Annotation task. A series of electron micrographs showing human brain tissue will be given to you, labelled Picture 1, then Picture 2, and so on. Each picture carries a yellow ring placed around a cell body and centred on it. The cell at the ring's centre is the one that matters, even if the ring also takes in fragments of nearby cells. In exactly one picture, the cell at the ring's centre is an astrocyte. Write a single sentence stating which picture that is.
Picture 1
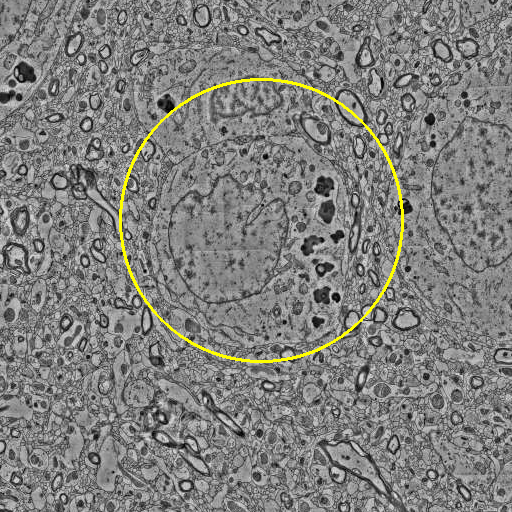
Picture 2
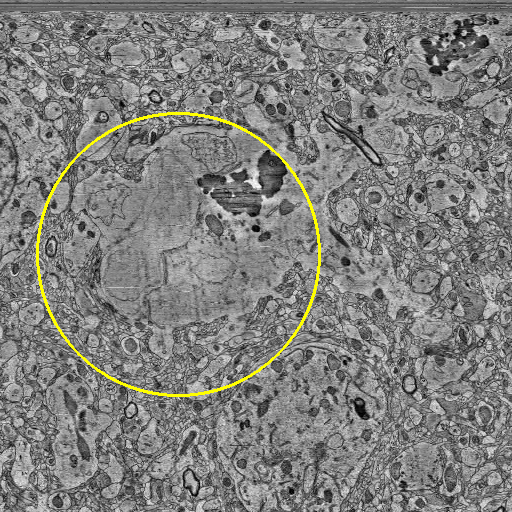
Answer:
Picture 2 holds the requested cell at the very centre of its ring.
